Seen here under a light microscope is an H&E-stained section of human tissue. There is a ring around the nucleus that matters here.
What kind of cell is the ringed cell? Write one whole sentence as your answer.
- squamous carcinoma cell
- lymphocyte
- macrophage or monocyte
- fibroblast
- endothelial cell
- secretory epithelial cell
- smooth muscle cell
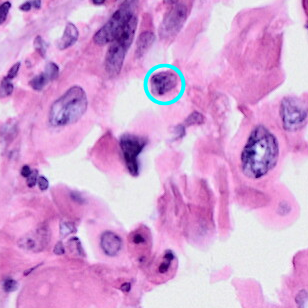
It is as a macrophage or monocyte that the ringed cell is recorded.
